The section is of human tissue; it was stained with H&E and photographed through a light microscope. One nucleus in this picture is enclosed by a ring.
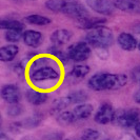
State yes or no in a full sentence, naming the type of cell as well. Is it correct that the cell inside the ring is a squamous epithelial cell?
No, mate, the cell inside the ring is a plasma cell rather than a squamous epithelial cell.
